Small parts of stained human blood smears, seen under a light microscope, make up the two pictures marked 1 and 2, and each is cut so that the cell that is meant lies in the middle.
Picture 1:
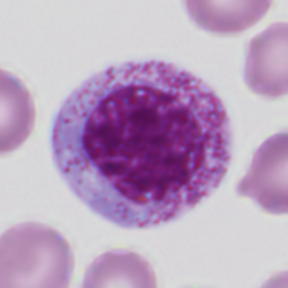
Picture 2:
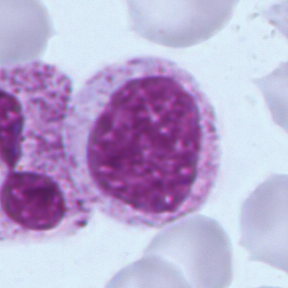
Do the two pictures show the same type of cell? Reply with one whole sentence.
Yes, they are the same type: both are myelocytes.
